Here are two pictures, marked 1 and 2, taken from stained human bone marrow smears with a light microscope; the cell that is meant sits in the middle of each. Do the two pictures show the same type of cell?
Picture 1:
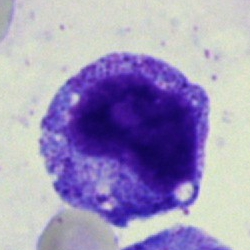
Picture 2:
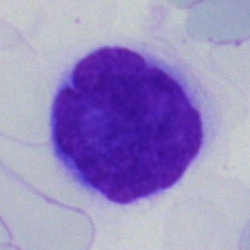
no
